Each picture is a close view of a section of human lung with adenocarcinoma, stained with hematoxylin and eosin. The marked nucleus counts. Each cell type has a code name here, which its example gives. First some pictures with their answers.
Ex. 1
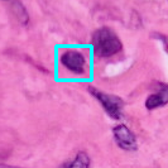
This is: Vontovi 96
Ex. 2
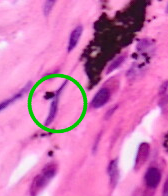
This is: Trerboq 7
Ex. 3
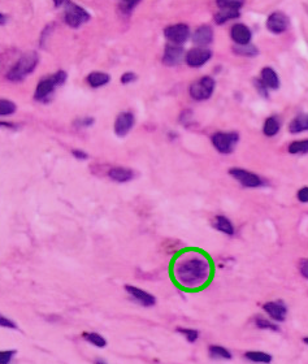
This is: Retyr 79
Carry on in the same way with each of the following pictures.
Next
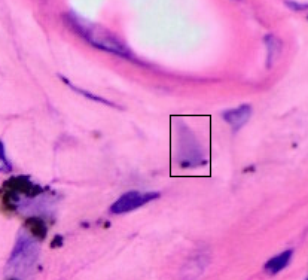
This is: Trerboq 7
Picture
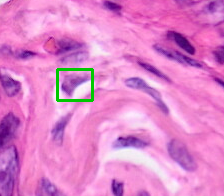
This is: Trerboq 7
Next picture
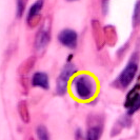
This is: Retyr 79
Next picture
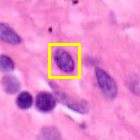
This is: Vontovi 96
